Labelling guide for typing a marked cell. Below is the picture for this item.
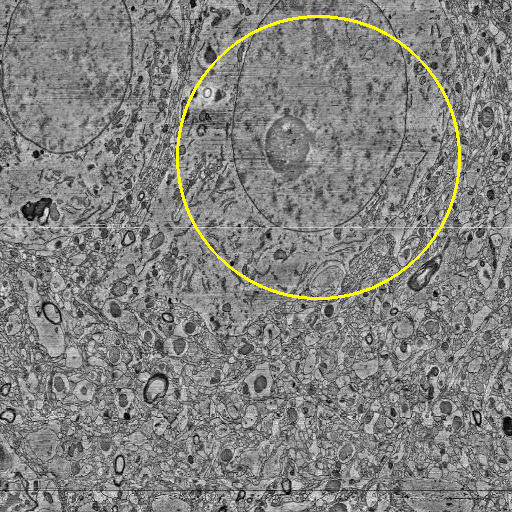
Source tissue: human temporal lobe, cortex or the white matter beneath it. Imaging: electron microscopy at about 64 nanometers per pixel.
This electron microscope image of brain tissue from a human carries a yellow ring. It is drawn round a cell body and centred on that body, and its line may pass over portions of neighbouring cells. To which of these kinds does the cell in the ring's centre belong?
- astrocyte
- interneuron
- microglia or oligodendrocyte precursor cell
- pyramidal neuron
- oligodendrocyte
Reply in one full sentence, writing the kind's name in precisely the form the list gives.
Here we have a pyramidal neuron at the centre of the yellow ring in the picture.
